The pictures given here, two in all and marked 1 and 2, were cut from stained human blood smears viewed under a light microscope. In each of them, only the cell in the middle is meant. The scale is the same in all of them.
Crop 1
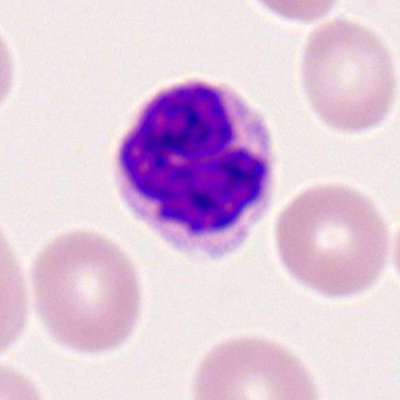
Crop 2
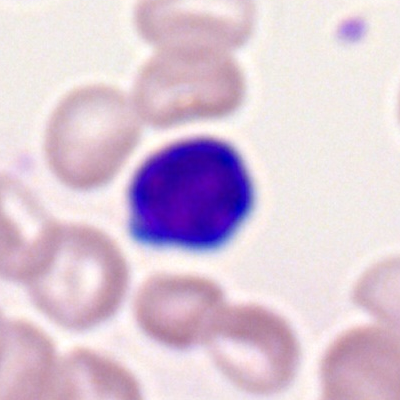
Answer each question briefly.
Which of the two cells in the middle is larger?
1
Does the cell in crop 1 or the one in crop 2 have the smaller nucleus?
2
